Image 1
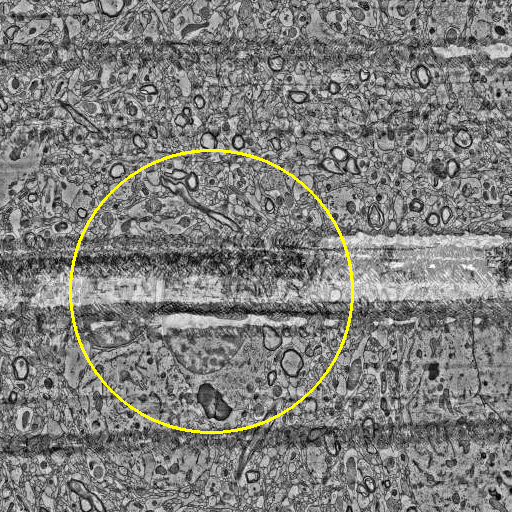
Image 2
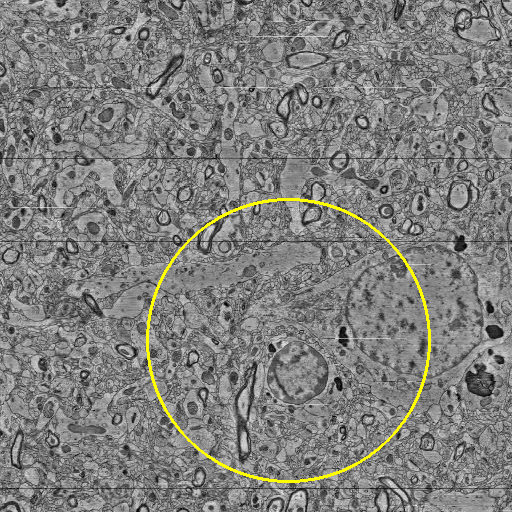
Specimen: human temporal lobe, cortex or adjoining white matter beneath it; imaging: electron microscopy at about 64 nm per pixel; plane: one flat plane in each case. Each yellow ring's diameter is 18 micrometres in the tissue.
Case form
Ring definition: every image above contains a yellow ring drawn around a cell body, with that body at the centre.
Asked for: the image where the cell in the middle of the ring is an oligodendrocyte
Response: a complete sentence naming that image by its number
Image 1 is the one.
